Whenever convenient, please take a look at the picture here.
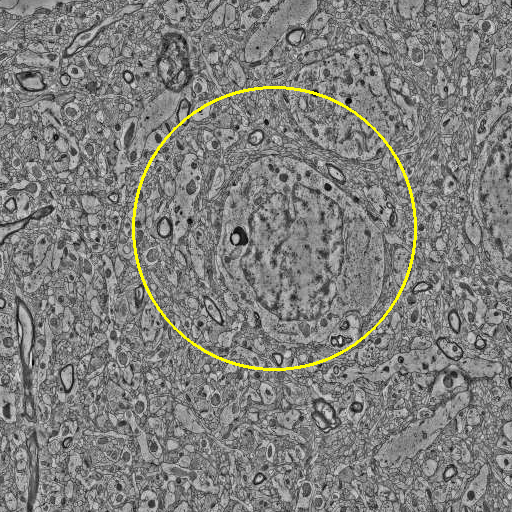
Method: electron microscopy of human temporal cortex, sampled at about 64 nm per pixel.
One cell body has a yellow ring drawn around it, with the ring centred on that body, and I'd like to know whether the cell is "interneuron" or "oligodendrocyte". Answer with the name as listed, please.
interneuron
